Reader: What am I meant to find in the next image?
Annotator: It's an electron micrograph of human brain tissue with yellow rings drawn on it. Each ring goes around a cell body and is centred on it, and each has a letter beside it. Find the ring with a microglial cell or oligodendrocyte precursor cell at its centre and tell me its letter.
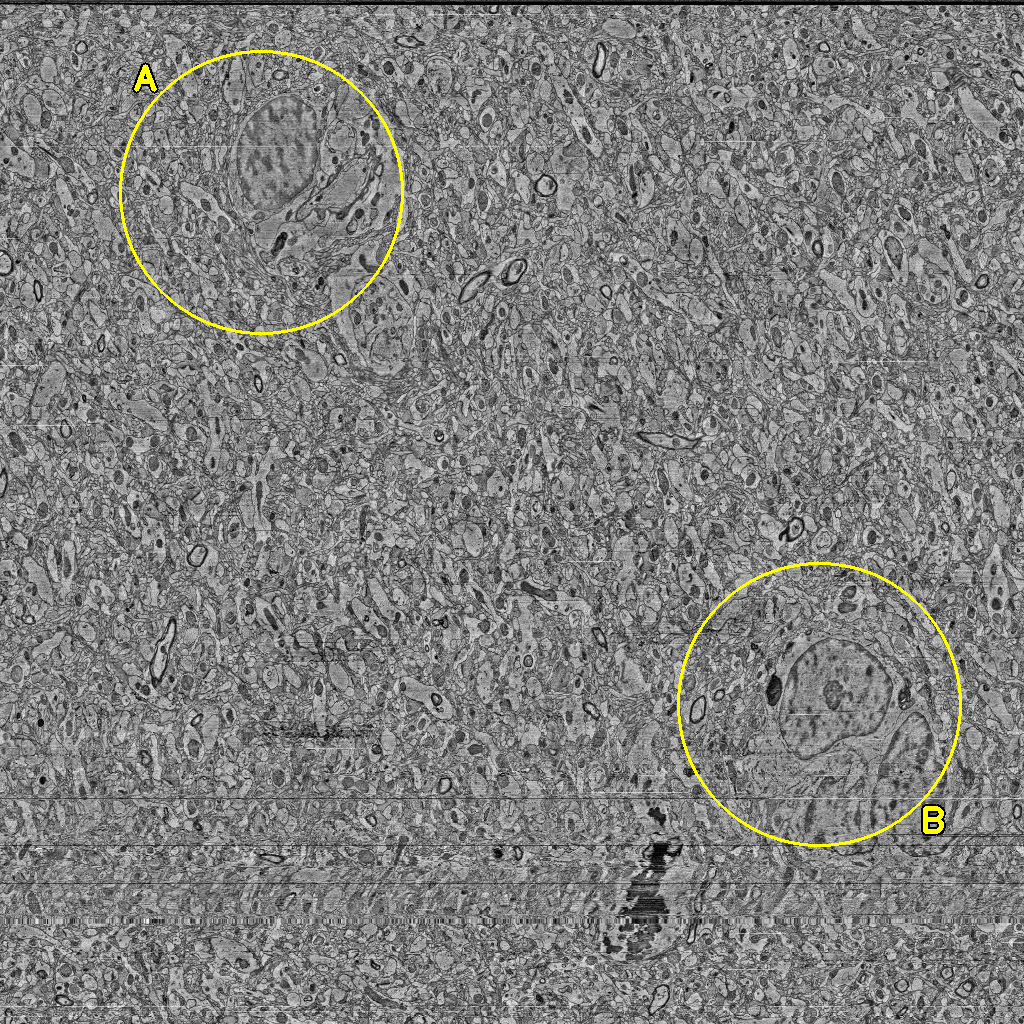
B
